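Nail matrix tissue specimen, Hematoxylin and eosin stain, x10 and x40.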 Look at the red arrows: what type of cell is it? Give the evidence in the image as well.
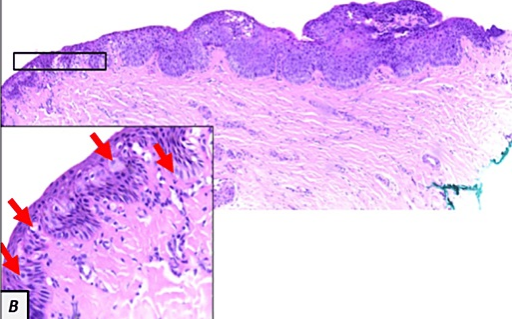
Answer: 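Individual epidermal cells with clear cytoplasm. In the inset, the arrowed cells have pale, unstained cytoplasm around their nuclei. These pale cells lie singly among the darker epithelial cells.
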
